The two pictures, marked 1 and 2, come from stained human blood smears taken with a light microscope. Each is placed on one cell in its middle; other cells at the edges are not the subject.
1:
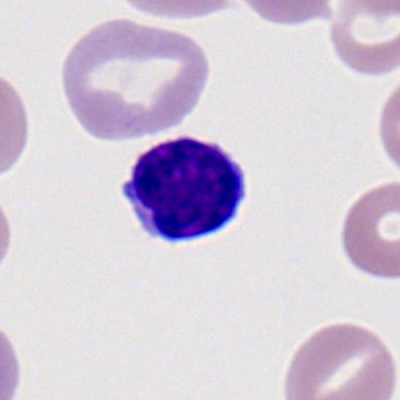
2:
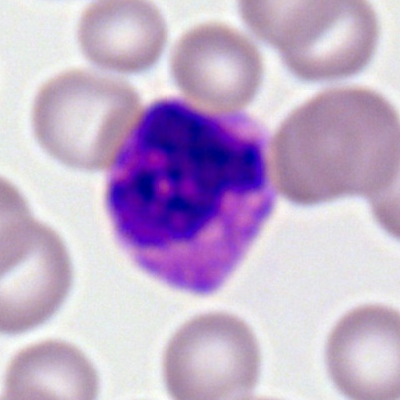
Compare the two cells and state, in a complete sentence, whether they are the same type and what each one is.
No, it is crop 1 that shows a lymphocyte, and crop 2 shows a basophil.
